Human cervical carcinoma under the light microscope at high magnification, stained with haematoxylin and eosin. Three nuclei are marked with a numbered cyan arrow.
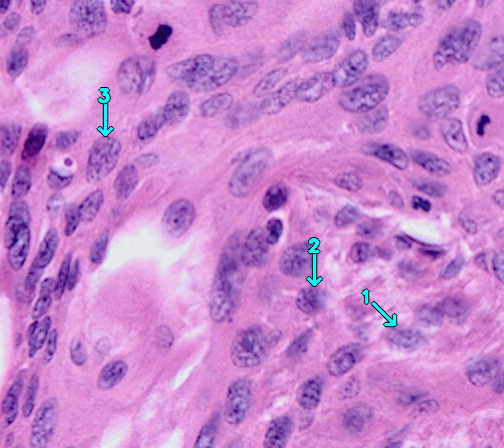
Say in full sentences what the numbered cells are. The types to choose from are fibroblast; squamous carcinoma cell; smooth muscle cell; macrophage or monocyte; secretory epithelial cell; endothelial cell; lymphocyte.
Cell 1 is a fibroblast, cell 2 is a squamous carcinoma cell and cell 3 is a squamous carcinoma cell.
